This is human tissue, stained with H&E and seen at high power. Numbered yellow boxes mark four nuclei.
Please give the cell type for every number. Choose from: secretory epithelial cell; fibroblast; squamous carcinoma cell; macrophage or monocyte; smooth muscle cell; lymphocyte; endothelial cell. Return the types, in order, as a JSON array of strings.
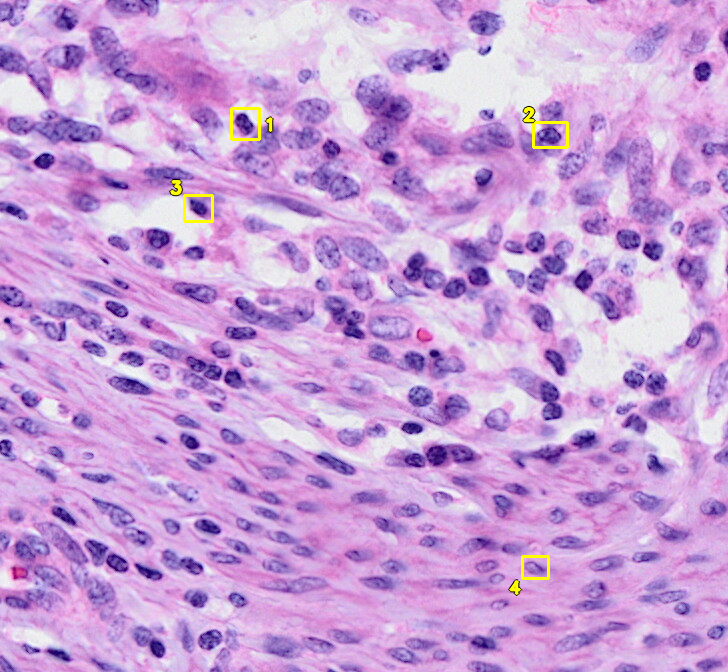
["lymphocyte", "lymphocyte", "lymphocyte", "smooth muscle cell"]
